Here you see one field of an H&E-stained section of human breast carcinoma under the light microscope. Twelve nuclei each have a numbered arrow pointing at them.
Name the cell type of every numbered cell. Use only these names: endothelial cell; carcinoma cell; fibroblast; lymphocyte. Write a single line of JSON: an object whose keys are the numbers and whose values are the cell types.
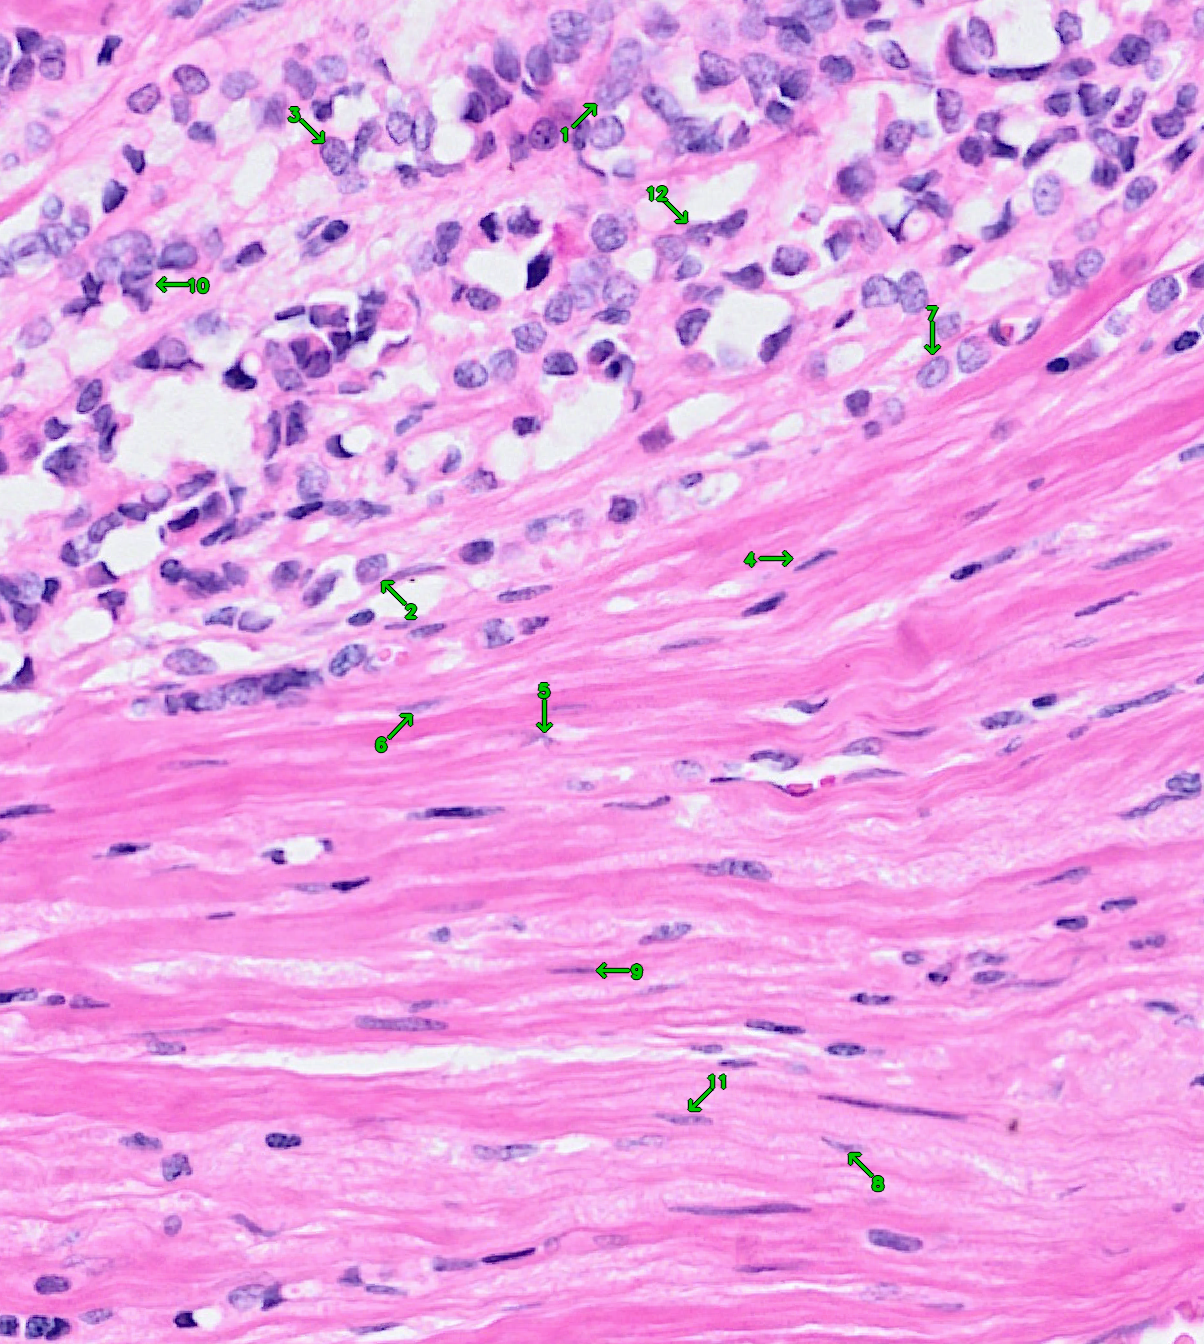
{"1": "carcinoma cell", "2": "carcinoma cell", "3": "carcinoma cell", "4": "fibroblast", "5": "fibroblast", "6": "fibroblast", "7": "carcinoma cell", "8": "fibroblast", "9": "fibroblast", "10": "carcinoma cell", "11": "fibroblast", "12": "carcinoma cell"}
